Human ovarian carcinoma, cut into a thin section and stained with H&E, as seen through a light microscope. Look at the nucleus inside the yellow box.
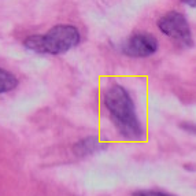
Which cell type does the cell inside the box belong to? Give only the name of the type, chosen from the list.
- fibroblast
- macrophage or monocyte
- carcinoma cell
fibroblast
